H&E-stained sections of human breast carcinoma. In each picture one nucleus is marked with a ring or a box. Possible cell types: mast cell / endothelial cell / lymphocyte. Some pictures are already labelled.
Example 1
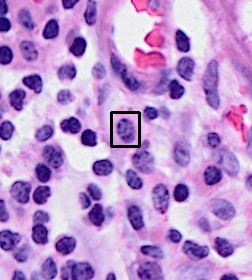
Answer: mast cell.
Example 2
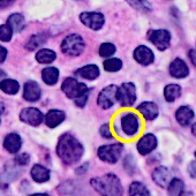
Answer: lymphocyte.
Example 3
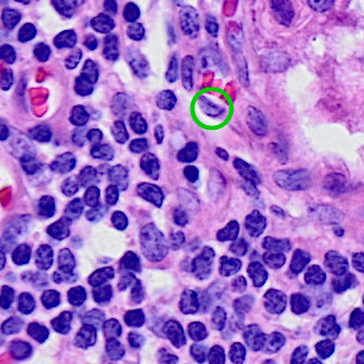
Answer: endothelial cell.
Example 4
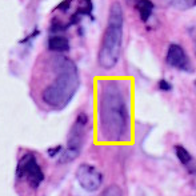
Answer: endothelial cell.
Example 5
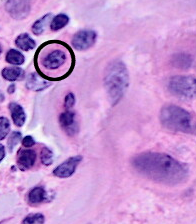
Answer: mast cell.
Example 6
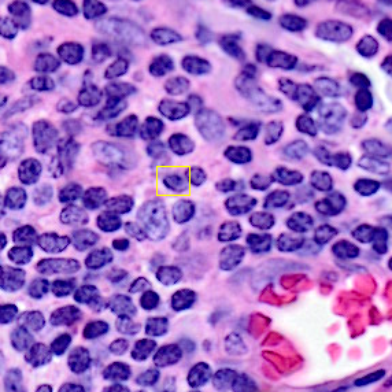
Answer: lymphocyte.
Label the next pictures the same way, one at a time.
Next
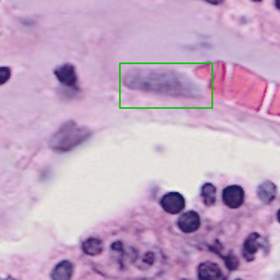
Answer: endothelial cell.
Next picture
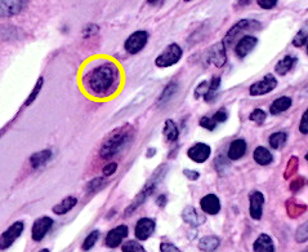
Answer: mast cell.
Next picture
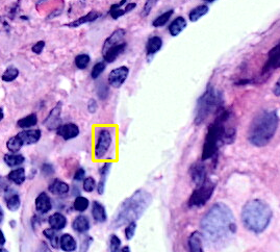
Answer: mast cell.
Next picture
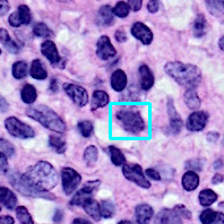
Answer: lymphocyte.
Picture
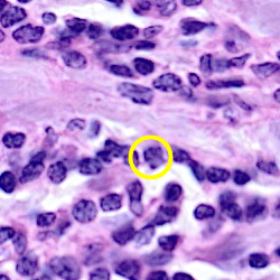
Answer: lymphocyte.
